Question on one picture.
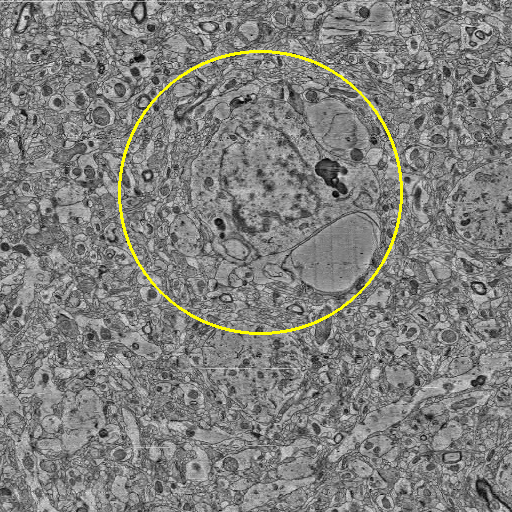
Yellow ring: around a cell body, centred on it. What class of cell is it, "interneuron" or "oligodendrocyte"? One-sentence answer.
This is an interneuron, the cell the ring is centred on.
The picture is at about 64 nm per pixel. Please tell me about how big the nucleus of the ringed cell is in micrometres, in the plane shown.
About 7 by 6 micrometres in this plane.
